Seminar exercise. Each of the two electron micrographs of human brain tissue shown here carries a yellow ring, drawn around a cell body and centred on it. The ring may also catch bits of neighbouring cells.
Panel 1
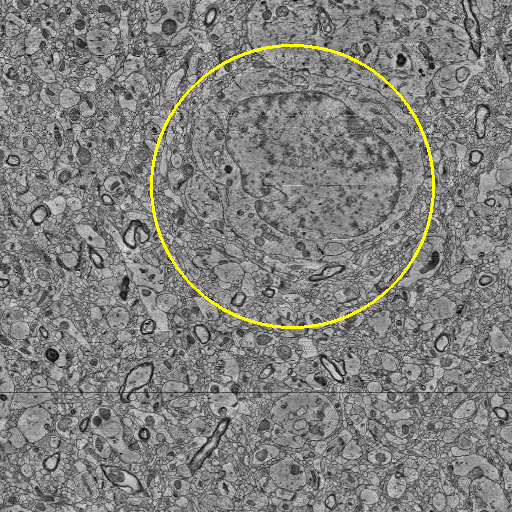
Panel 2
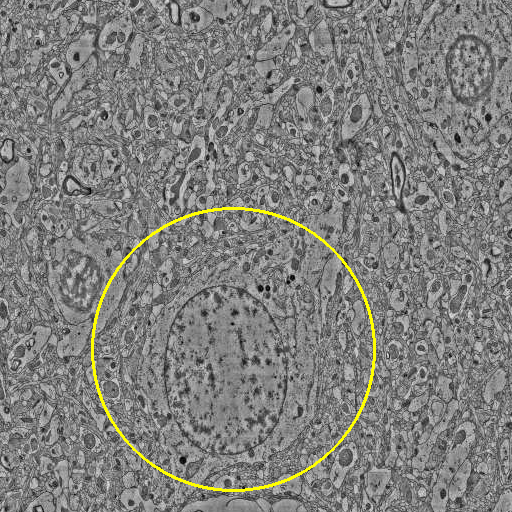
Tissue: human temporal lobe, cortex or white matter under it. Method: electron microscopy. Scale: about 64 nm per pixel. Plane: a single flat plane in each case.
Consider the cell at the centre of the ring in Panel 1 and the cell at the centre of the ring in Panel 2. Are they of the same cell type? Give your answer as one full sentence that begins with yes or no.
No, the two cells are of two types.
